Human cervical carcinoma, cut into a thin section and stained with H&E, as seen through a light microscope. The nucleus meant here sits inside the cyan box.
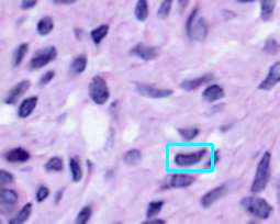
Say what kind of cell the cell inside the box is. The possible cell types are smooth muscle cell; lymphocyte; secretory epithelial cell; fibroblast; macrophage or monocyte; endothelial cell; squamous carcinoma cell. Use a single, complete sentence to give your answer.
In the context of this tissue, the cell inside the box is a fibroblast.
